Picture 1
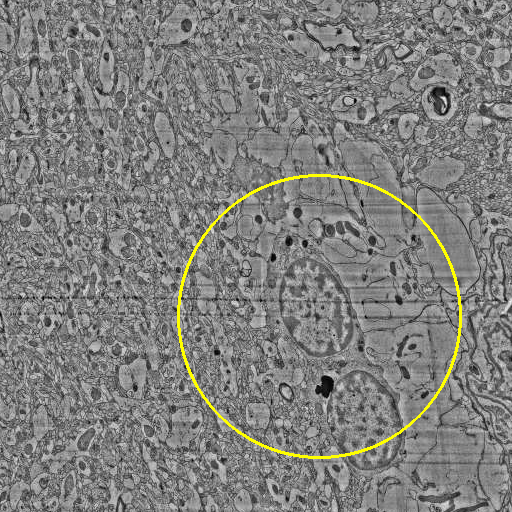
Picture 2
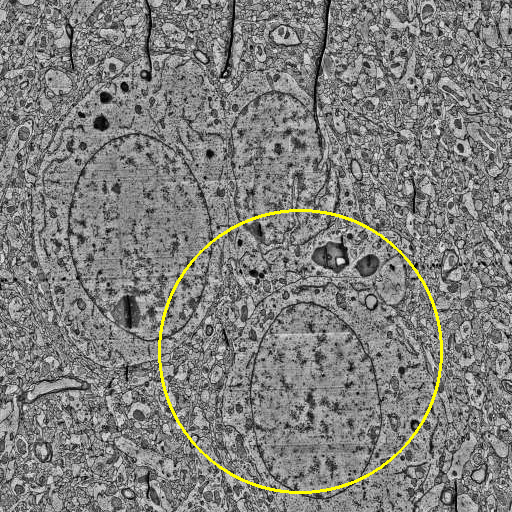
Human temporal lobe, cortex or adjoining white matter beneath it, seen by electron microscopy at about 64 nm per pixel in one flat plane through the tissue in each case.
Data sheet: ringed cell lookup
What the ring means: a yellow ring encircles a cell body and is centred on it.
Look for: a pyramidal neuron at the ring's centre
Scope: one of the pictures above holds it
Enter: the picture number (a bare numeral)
2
